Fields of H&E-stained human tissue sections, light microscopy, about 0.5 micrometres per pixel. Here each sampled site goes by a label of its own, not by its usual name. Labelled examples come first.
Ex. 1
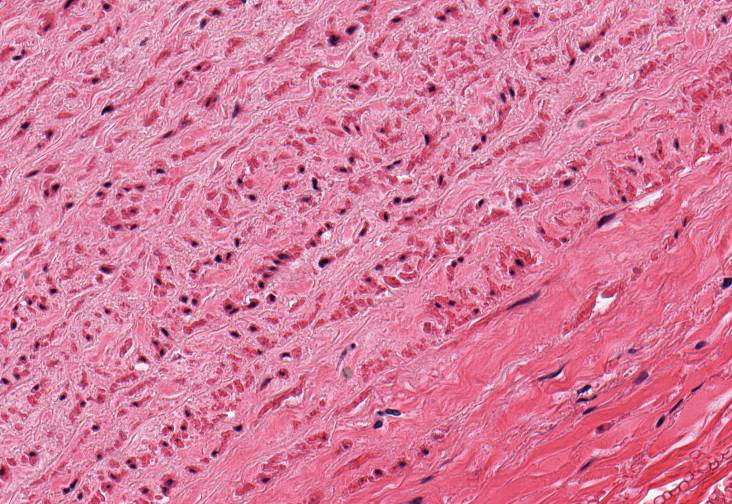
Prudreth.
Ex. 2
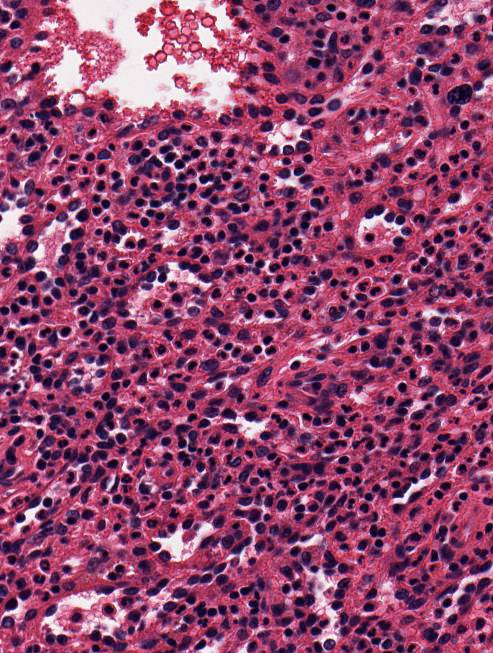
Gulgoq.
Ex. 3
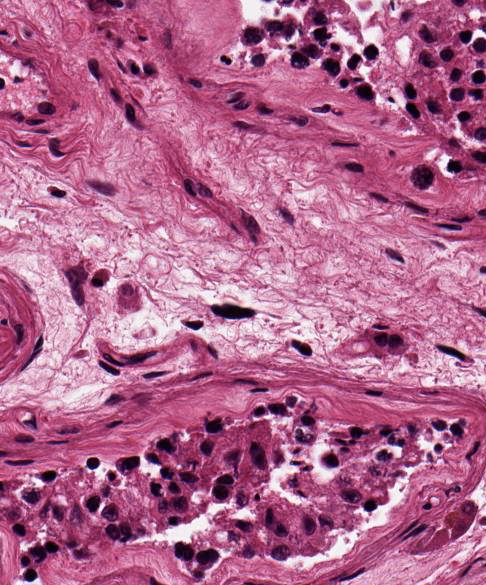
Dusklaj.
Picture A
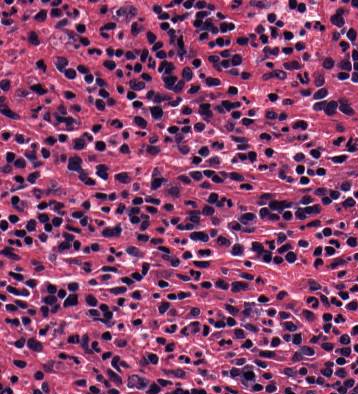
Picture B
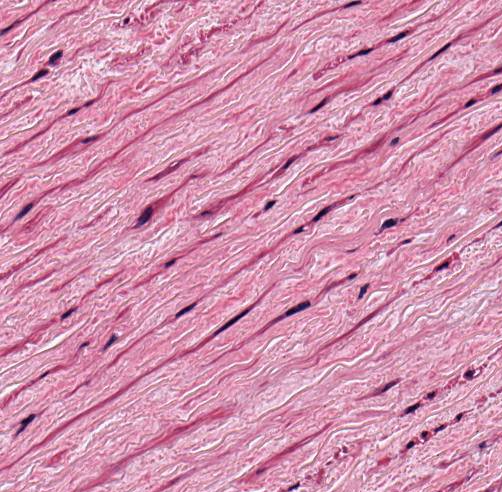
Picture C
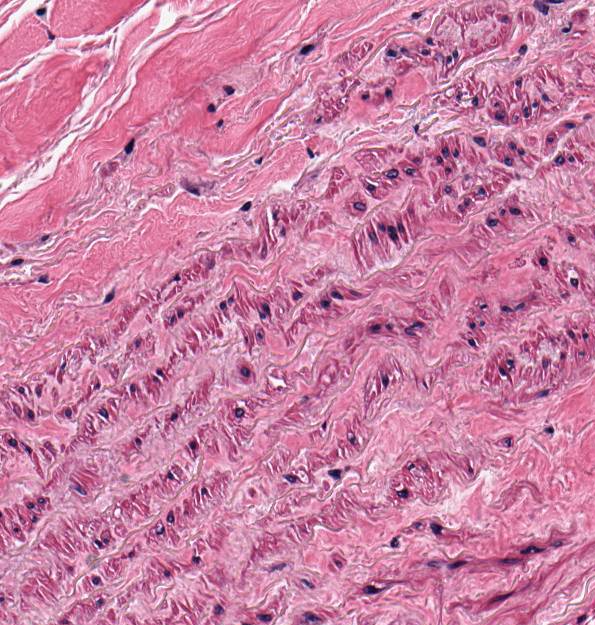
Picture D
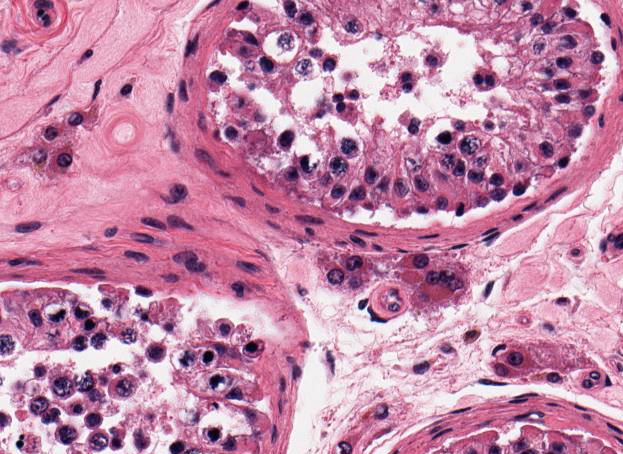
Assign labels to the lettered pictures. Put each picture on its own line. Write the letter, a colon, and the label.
A: Gulgoq.
B: Prudreth.
C: Prudreth.
D: Dusklaj.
